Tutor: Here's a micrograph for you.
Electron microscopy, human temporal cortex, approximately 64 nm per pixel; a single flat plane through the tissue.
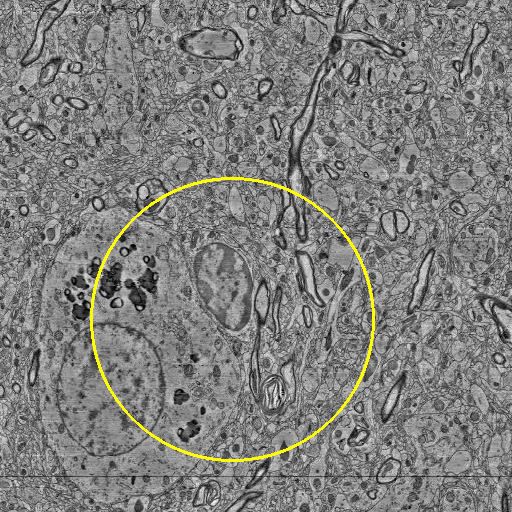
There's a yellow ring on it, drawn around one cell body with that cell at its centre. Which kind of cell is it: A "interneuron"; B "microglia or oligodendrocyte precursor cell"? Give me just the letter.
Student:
B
